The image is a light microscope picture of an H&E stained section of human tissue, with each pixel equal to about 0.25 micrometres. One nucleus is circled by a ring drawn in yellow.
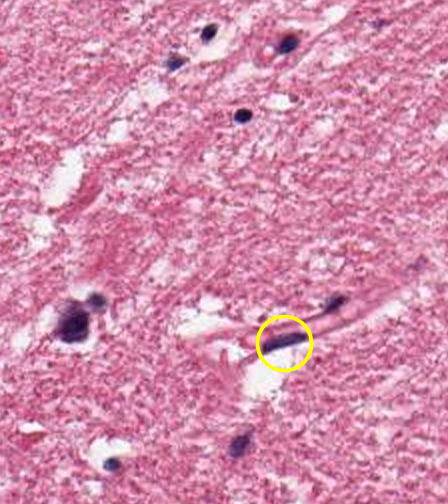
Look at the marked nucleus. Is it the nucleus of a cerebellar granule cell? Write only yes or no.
no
